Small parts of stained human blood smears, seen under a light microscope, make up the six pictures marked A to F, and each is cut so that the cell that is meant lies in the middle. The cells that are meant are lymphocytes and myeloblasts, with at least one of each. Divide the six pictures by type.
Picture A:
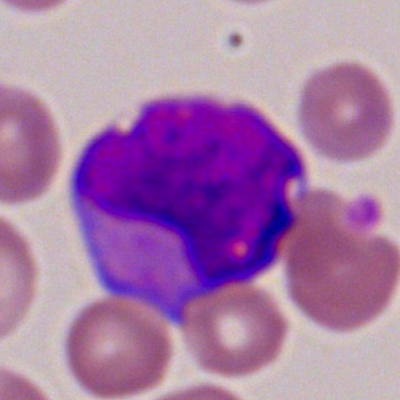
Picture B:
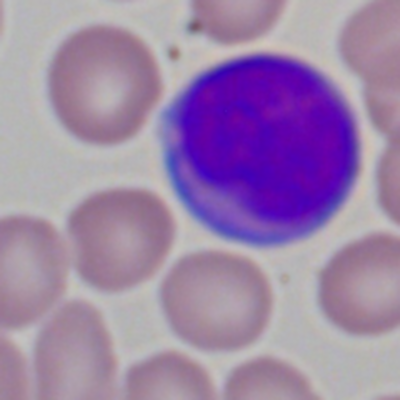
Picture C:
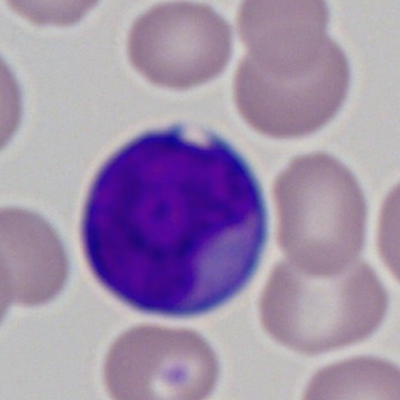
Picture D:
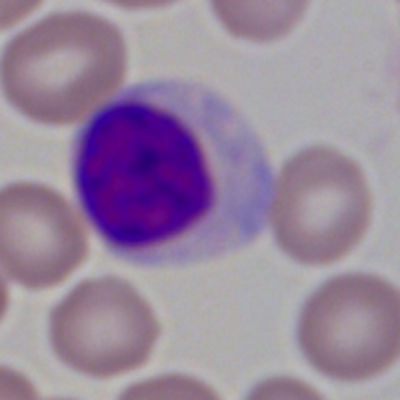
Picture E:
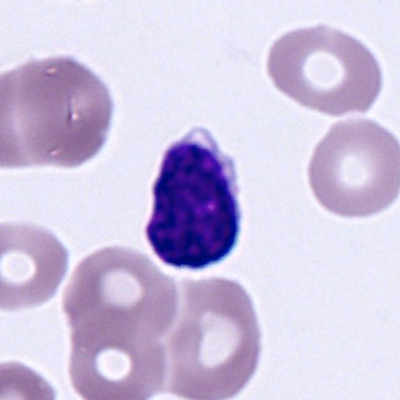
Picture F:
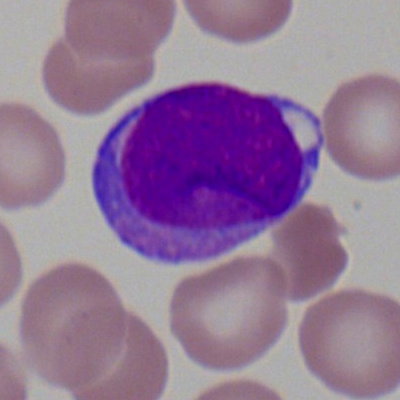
A: myeloblast
B: myeloblast
C: myeloblast
D: lymphocyte
E: lymphocyte
F: myeloblast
